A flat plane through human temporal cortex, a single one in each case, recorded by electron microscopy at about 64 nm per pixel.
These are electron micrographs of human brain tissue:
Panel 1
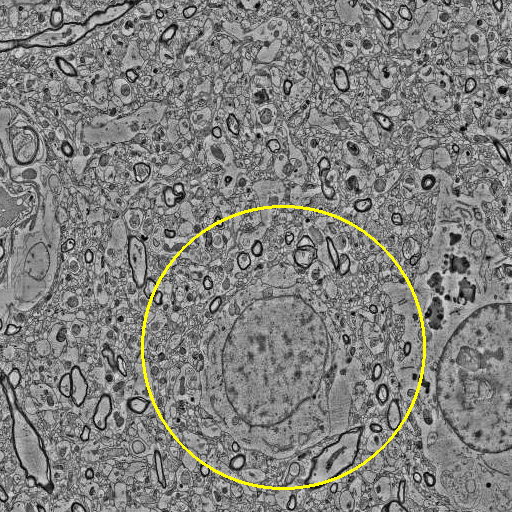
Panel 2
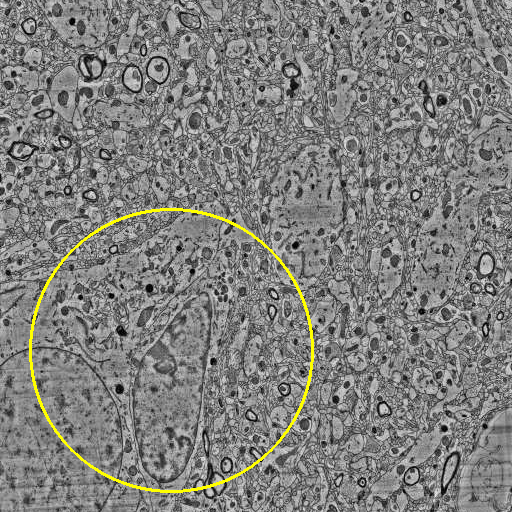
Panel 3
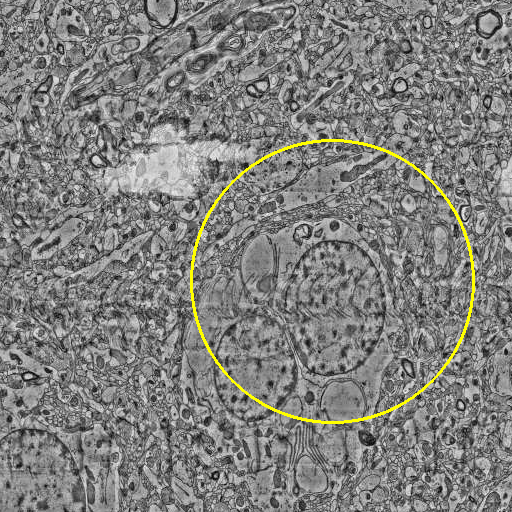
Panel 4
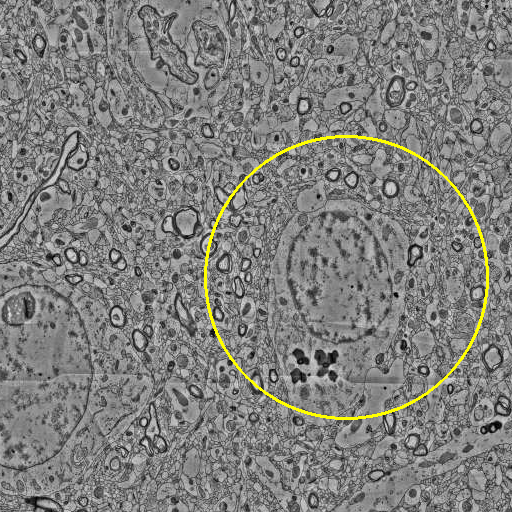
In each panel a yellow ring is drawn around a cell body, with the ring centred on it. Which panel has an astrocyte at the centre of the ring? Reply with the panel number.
3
